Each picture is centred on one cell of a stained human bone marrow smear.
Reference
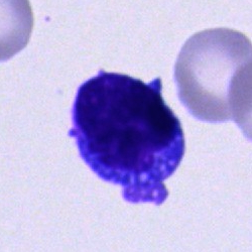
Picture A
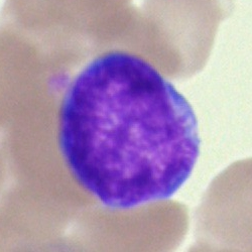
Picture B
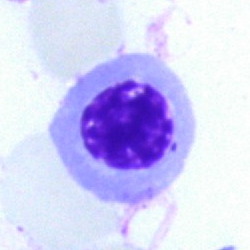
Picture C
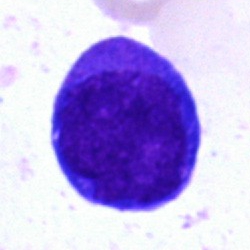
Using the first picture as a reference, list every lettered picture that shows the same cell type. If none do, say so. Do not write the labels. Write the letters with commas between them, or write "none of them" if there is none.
A, C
